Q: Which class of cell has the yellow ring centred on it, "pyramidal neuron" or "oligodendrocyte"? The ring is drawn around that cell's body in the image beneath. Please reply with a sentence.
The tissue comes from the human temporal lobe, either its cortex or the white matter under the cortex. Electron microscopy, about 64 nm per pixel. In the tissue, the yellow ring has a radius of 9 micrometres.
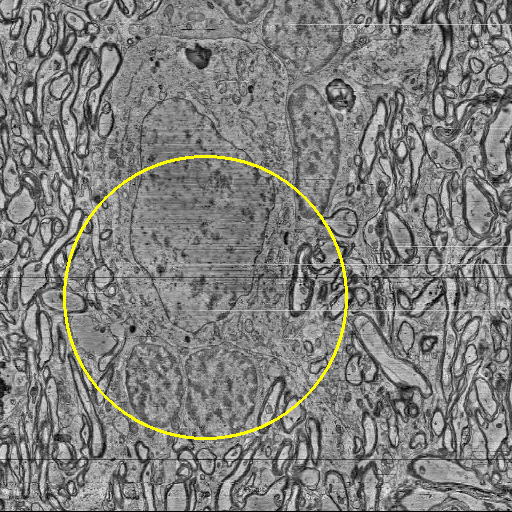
It is centred on a pyramidal neuron.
